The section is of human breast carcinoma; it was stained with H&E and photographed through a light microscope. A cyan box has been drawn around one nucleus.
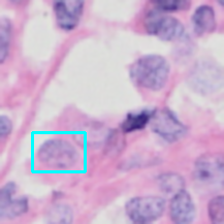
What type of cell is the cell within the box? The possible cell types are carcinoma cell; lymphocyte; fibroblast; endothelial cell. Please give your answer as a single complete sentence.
It is as a carcinoma cell that the cell within the box is recorded.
